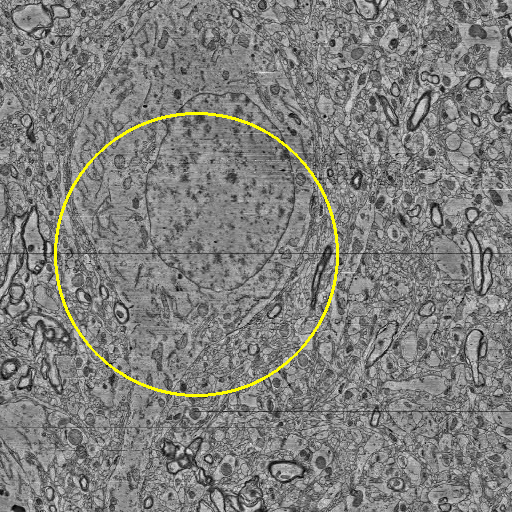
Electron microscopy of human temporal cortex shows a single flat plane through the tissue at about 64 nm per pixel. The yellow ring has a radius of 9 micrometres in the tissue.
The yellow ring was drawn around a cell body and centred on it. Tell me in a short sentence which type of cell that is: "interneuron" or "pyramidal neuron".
The cell at the ring's centre is a pyramidal neuron.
